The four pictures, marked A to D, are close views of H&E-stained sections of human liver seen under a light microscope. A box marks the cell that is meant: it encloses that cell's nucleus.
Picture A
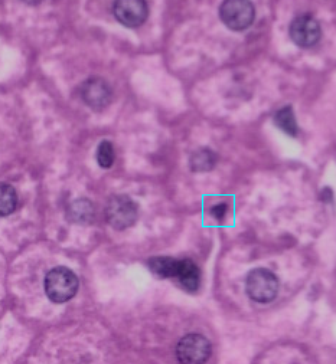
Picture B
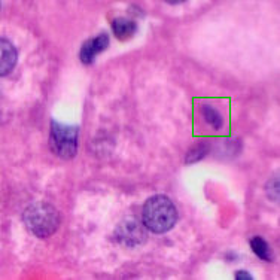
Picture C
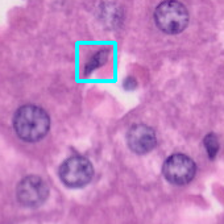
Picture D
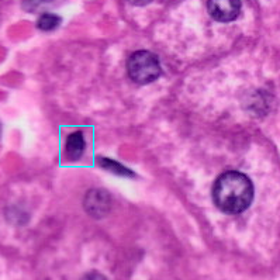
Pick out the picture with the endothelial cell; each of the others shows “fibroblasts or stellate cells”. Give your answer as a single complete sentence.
The picture with the endothelial cell is C.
